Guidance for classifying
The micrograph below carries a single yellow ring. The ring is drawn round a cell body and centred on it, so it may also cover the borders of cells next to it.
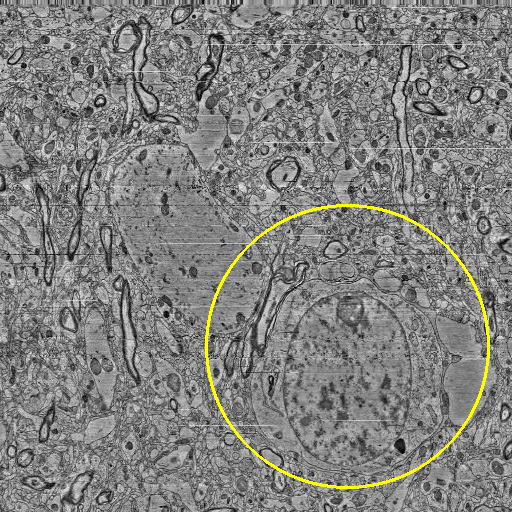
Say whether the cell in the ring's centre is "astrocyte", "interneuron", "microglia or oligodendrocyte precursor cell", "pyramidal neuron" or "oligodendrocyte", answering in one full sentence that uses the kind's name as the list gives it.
Within the yellow ring, an interneuron is the cell whose body sits at the centre.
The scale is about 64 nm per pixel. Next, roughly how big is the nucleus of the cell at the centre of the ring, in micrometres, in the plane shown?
In this plane, about 12 micrometres in length and 8 in width.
